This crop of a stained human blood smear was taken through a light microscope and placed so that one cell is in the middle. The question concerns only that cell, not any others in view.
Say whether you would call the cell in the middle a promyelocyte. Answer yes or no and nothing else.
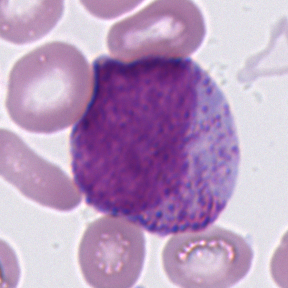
yes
